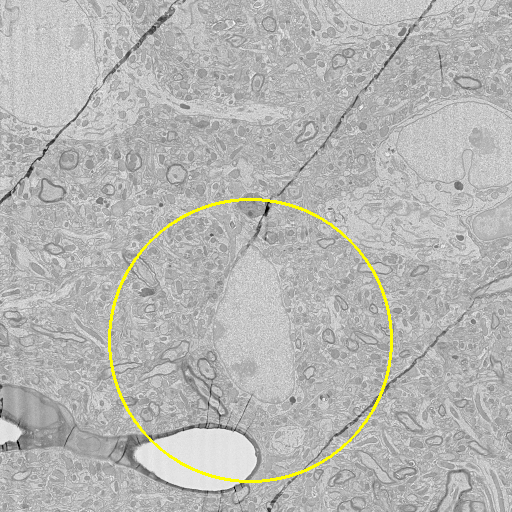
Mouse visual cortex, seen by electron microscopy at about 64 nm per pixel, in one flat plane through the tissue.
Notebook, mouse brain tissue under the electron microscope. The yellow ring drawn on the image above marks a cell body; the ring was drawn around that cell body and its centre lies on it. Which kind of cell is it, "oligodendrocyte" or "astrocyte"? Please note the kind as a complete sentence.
The marked cell body is that of an astrocyte.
